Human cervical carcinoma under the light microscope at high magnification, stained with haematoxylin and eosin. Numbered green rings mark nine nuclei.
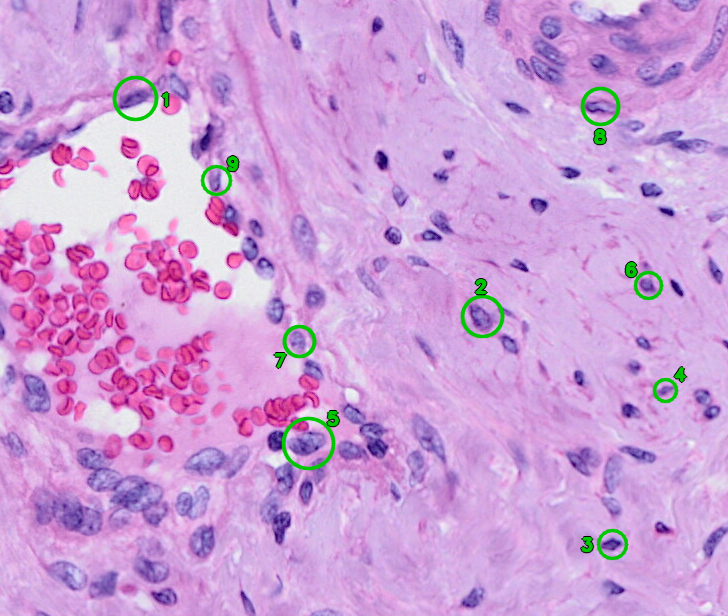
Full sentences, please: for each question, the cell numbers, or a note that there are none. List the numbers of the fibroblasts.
There is just one numbered cell that is a fibroblast, and it is cell 3.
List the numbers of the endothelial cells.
By cell type, the cells numbered 1, 5, 7 and 9 are endothelial cells.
